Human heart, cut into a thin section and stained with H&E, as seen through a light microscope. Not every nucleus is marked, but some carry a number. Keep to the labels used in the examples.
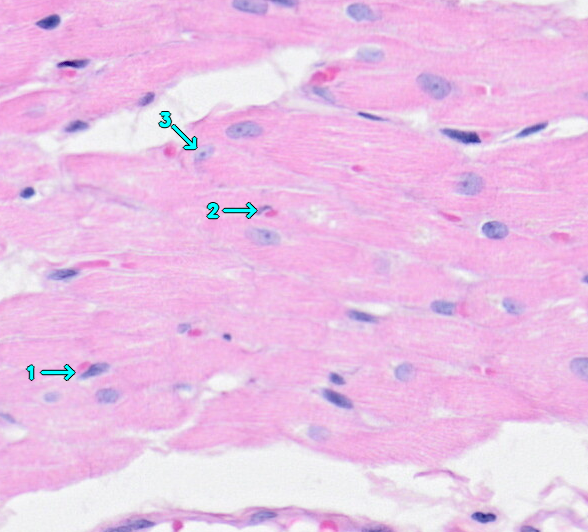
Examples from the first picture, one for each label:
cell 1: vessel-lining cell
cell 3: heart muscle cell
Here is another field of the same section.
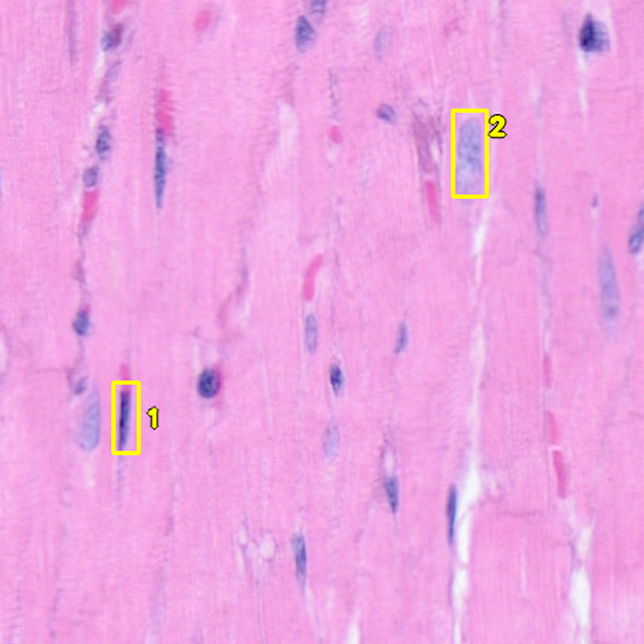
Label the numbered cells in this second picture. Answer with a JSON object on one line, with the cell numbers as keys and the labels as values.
{"1": "vessel-lining cell", "2": "heart muscle cell"}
